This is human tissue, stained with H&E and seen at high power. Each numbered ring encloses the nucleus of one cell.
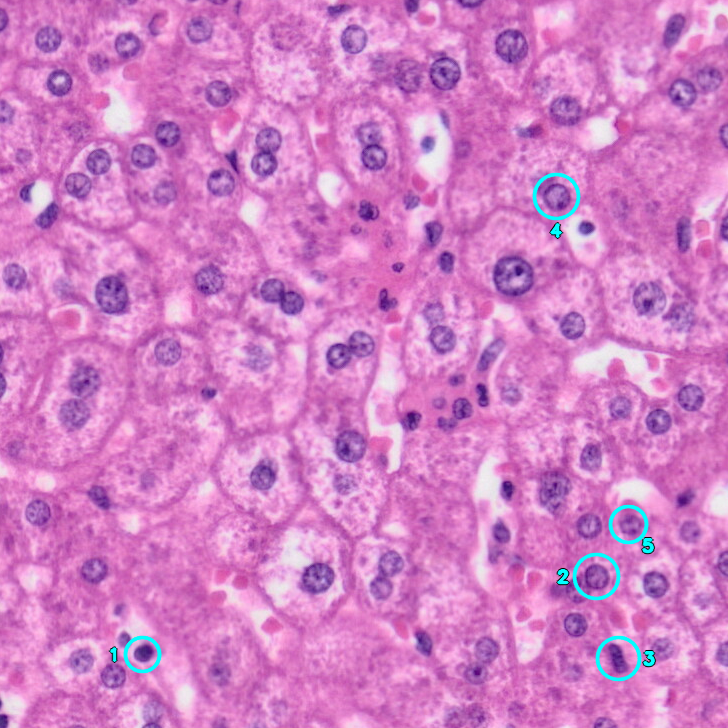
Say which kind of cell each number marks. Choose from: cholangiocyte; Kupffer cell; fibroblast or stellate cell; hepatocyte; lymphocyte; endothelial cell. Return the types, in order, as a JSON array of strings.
["lymphocyte", "hepatocyte", "fibroblast or stellate cell", "hepatocyte", "hepatocyte"]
